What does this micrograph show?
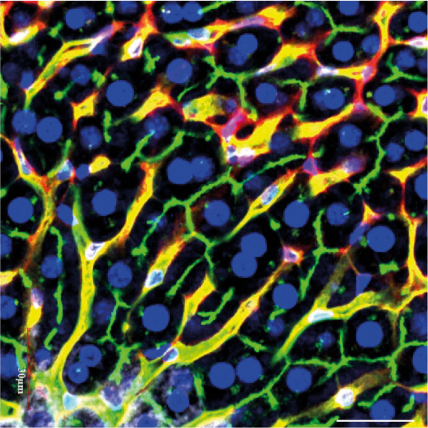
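Here again is liver at high magnification, showing hepatocytes as large polygonal cells with dark cytoplasm and round blue nuclei, some binucleate. They are arranged in plates separated by broad red-to-yellow channels, the hepatic sinusoids, which form a connected network; small elongated nuclei lie along these channels. Between the hepatocytes within each plate a thin green branching network marks the bile canaliculi, running in the narrow spaces between adjacent cells. A few small white spots appear scattered along the channels. The arrangement of plates, channels and canaliculi looks regular.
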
